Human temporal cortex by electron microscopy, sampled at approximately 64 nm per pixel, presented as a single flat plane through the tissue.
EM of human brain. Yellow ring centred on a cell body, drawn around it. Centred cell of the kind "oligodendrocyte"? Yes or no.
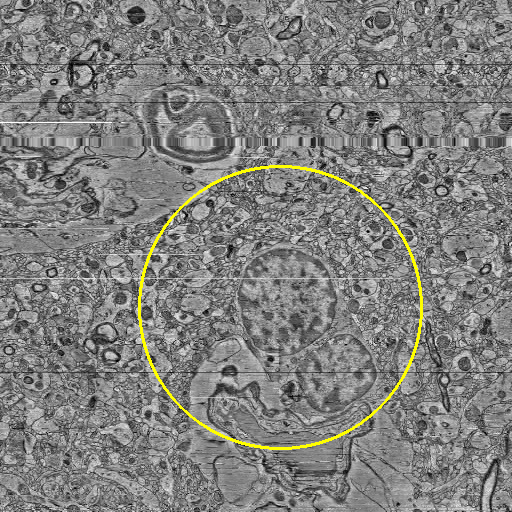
yes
